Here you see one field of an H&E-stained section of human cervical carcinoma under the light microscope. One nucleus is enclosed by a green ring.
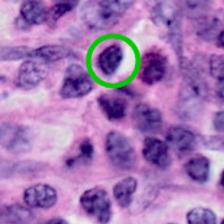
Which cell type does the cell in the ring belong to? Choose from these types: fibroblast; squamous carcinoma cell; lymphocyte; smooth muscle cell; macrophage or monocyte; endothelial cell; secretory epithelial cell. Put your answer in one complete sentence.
Cytologically, the cell in the ring is to be regarded as a lymphocyte.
